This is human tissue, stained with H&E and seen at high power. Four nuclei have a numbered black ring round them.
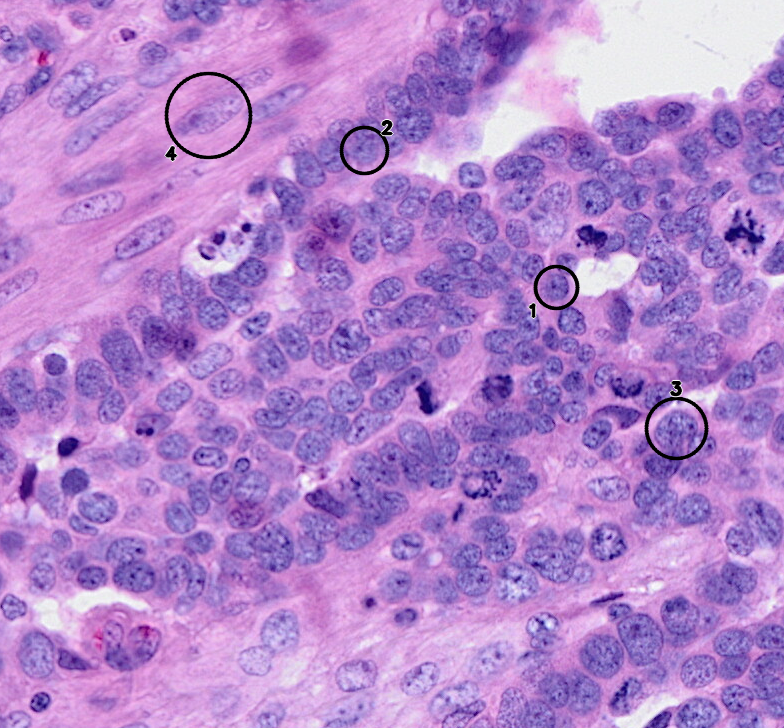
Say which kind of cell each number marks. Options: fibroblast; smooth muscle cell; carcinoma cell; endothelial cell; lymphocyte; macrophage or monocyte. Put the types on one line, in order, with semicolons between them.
carcinoma cell; carcinoma cell; carcinoma cell; fibroblast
